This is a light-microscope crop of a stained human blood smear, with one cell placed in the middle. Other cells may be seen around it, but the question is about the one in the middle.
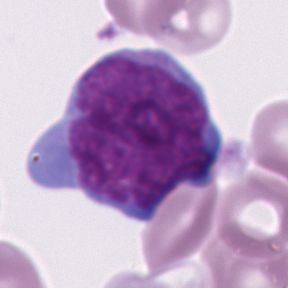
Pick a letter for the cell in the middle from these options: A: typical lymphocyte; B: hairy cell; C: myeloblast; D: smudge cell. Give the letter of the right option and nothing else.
C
